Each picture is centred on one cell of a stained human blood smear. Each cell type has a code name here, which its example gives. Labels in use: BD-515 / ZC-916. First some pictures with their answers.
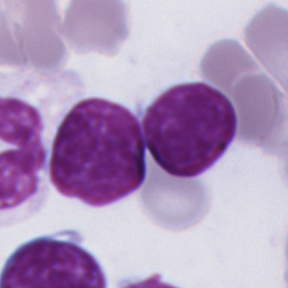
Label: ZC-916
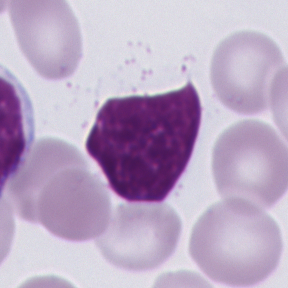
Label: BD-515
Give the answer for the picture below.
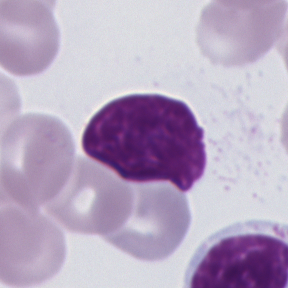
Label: BD-515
